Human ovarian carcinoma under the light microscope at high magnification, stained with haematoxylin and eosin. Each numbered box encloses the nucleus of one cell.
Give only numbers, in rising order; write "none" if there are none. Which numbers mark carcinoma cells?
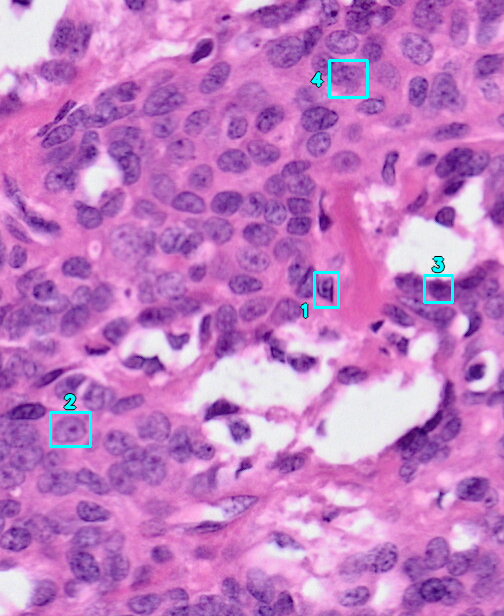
2, 3, 4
